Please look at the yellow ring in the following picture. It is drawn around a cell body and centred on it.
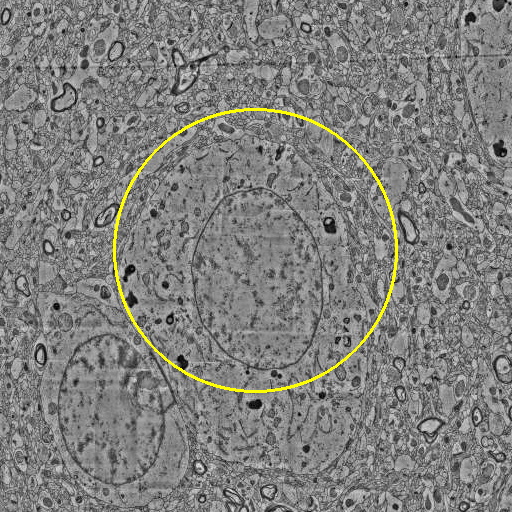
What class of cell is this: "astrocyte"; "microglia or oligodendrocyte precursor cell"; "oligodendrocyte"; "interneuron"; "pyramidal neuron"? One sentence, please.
The ring surrounds the cell body of a pyramidal neuron.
